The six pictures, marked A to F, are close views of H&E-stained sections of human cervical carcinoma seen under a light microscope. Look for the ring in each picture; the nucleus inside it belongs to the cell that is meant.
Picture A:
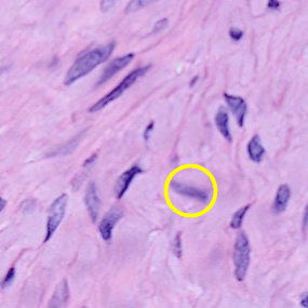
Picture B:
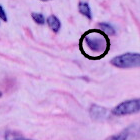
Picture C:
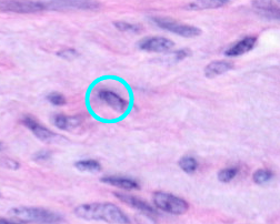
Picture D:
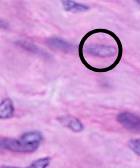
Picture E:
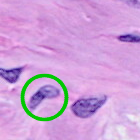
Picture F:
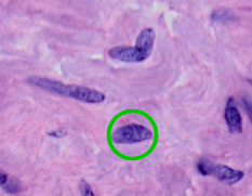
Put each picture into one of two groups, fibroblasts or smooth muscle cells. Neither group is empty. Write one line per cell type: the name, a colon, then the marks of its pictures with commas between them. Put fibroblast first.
fibroblast: A, E, F
smooth muscle cell: B, C, D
